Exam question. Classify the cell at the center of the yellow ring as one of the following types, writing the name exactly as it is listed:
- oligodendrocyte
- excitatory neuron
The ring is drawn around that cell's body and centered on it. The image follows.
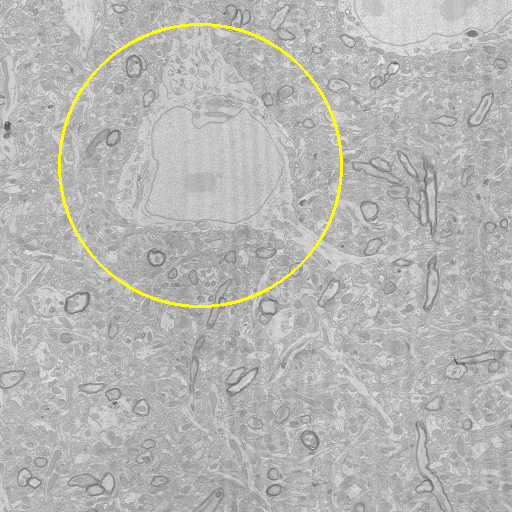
excitatory neuron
